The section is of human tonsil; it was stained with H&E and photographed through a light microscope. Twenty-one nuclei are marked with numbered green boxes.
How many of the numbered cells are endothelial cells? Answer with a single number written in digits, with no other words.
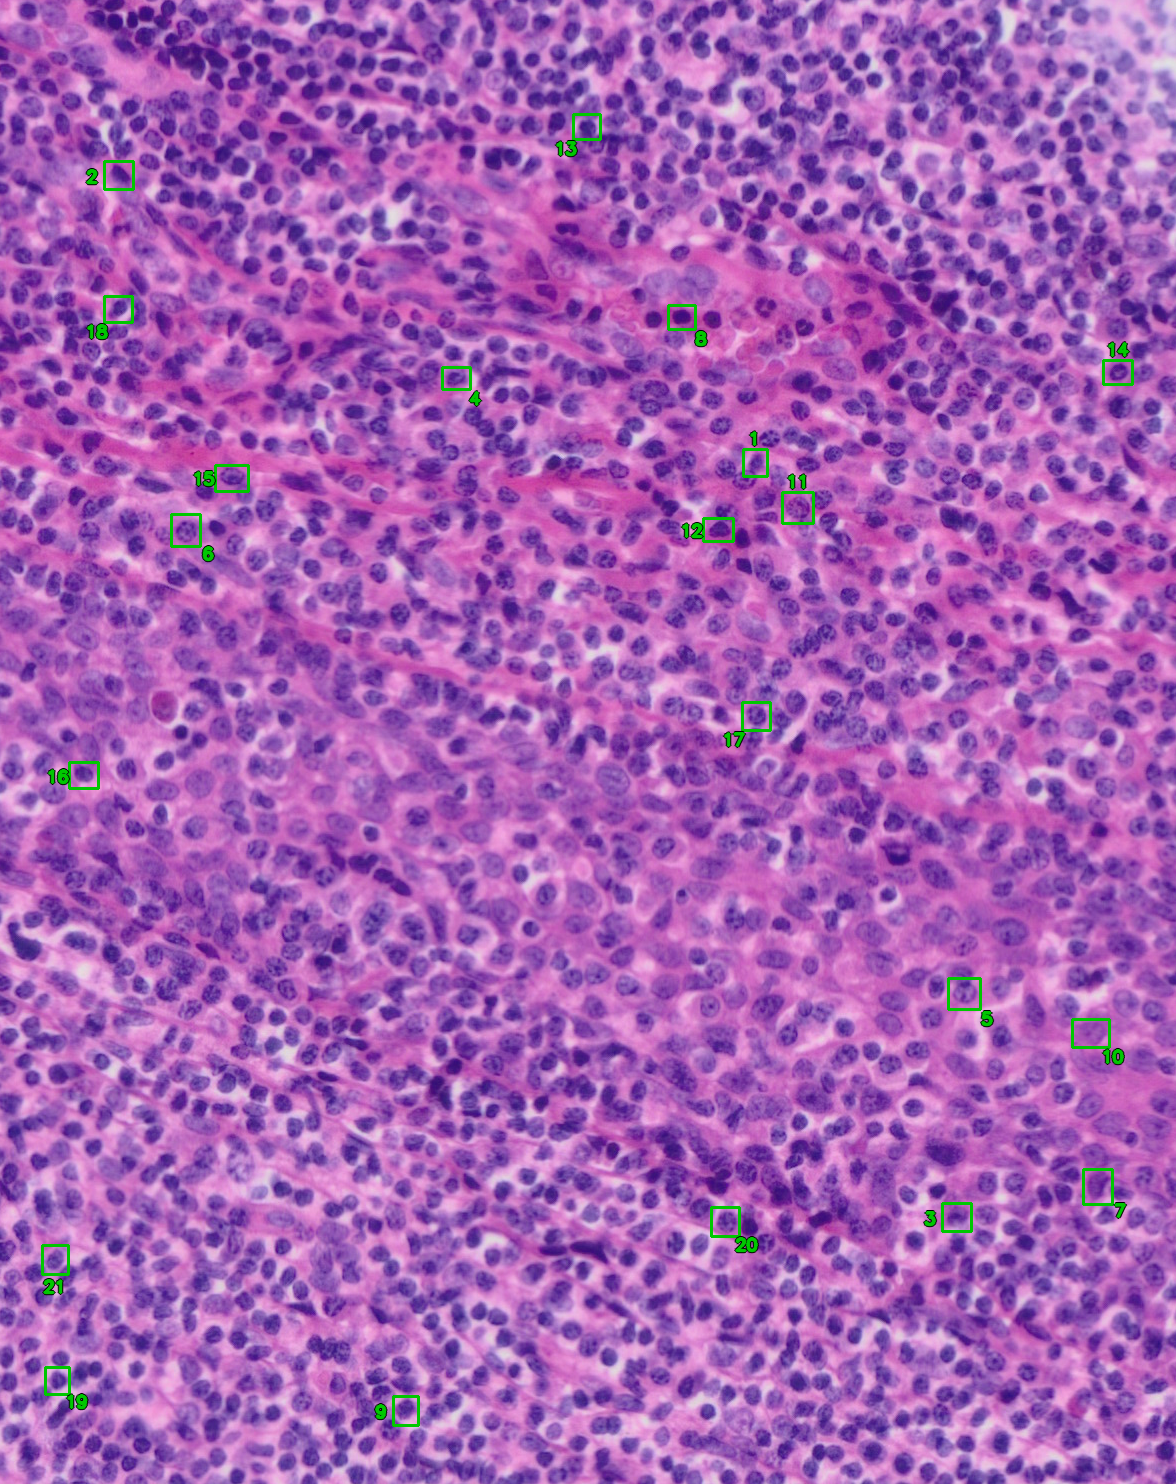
2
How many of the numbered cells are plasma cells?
11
